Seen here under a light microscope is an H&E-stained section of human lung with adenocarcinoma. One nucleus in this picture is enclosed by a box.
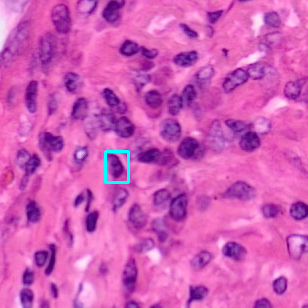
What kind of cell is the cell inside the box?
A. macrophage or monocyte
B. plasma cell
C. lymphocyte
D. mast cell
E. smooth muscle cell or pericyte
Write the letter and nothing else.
B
